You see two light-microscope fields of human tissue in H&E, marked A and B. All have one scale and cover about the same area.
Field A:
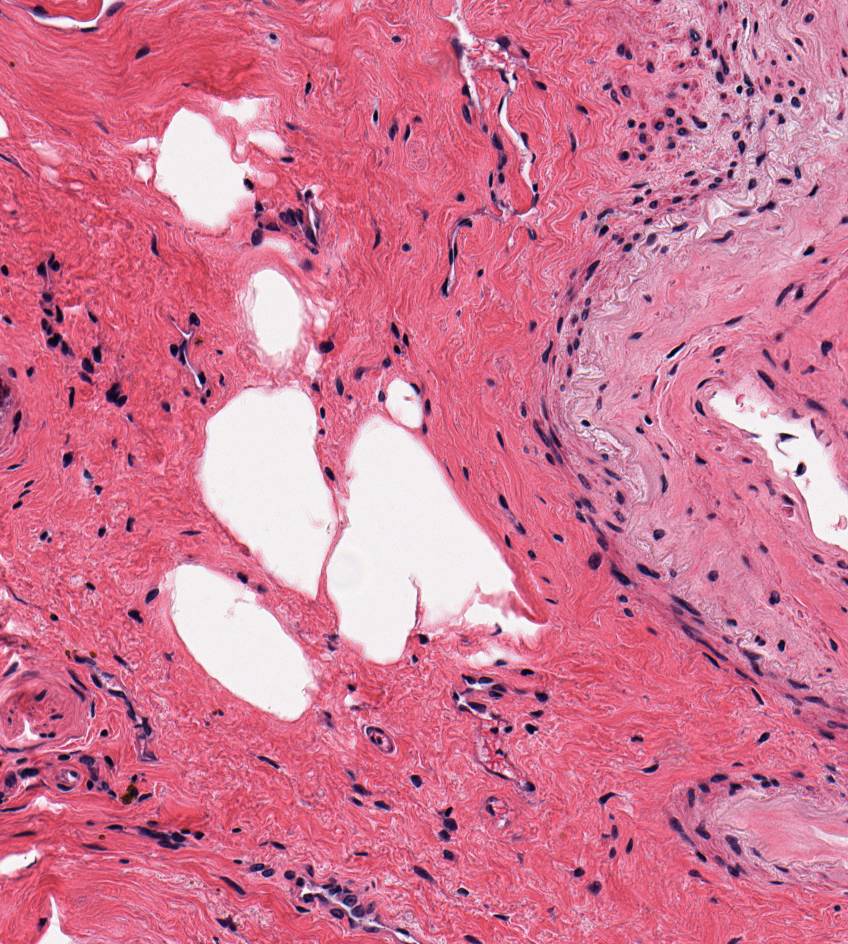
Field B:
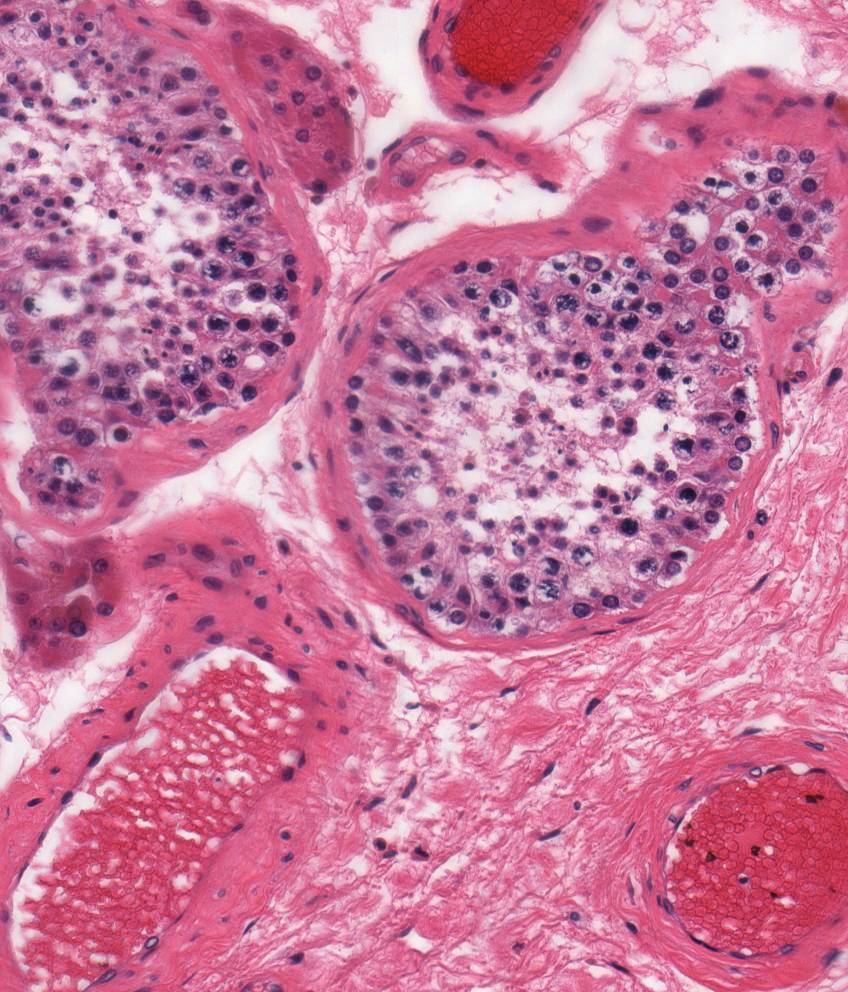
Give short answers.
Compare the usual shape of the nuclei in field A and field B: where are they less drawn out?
B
